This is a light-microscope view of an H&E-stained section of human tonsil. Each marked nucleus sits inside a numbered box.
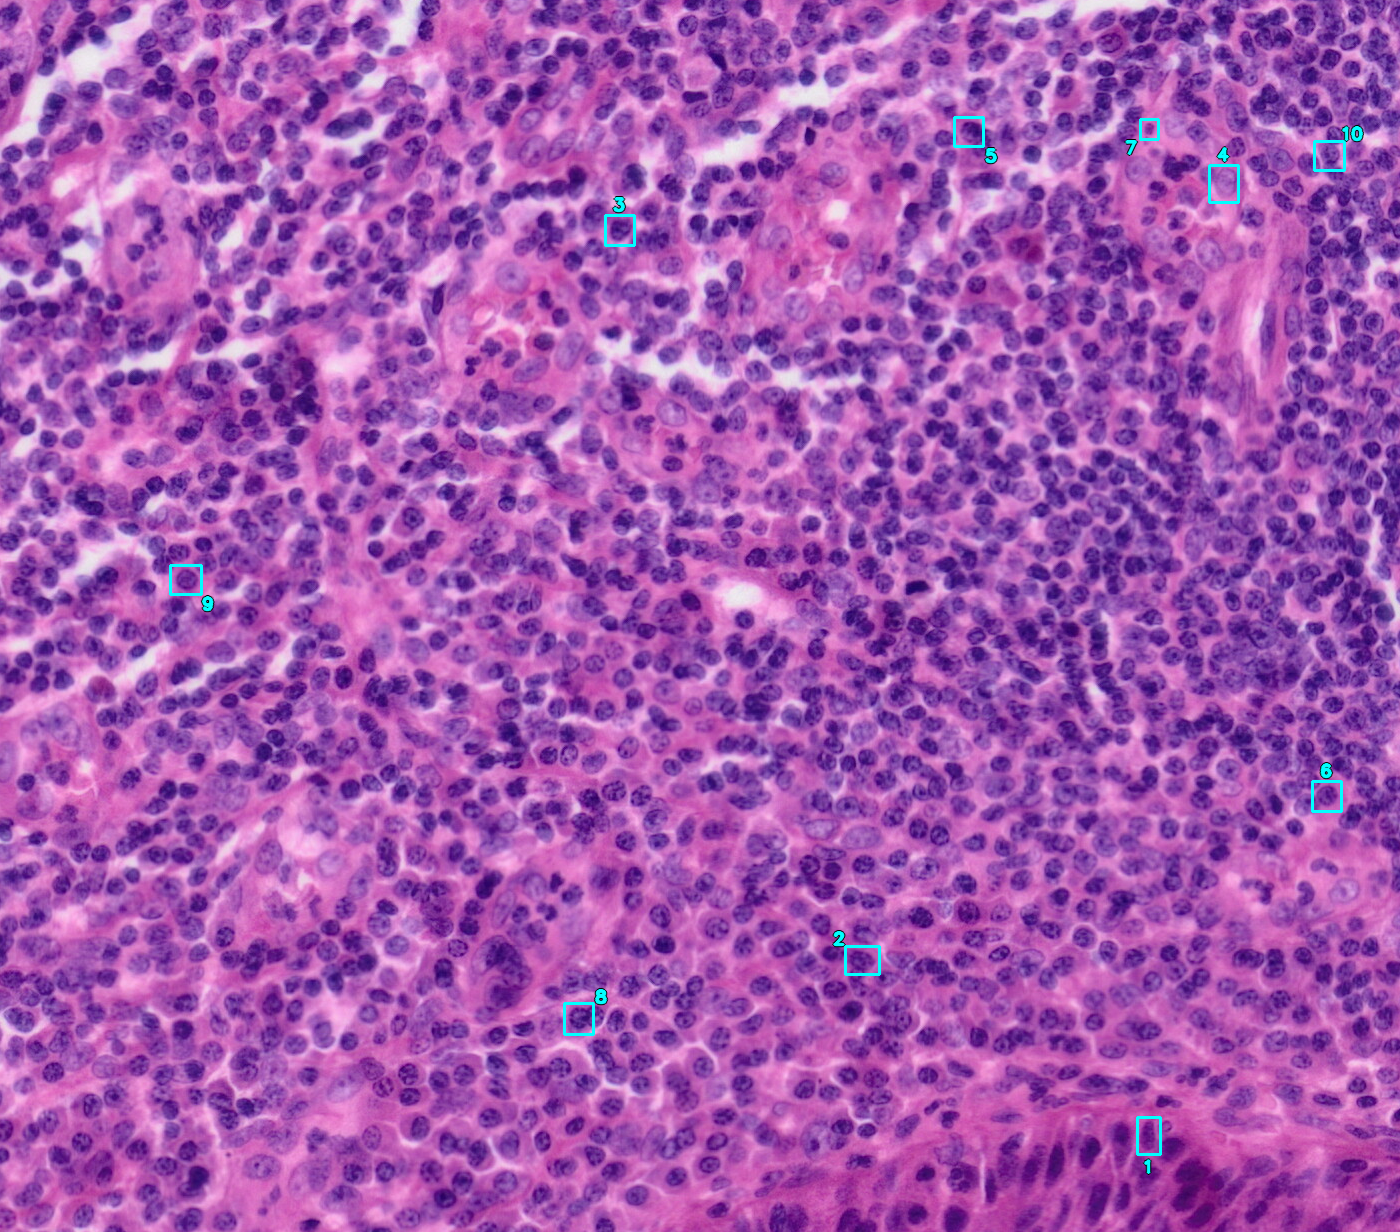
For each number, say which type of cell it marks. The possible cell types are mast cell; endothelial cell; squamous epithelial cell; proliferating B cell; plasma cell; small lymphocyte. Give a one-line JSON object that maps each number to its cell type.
{"1": "squamous epithelial cell", "2": "plasma cell", "3": "plasma cell", "4": "endothelial cell", "5": "plasma cell", "6": "plasma cell", "7": "endothelial cell", "8": "plasma cell", "9": "plasma cell", "10": "small lymphocyte"}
